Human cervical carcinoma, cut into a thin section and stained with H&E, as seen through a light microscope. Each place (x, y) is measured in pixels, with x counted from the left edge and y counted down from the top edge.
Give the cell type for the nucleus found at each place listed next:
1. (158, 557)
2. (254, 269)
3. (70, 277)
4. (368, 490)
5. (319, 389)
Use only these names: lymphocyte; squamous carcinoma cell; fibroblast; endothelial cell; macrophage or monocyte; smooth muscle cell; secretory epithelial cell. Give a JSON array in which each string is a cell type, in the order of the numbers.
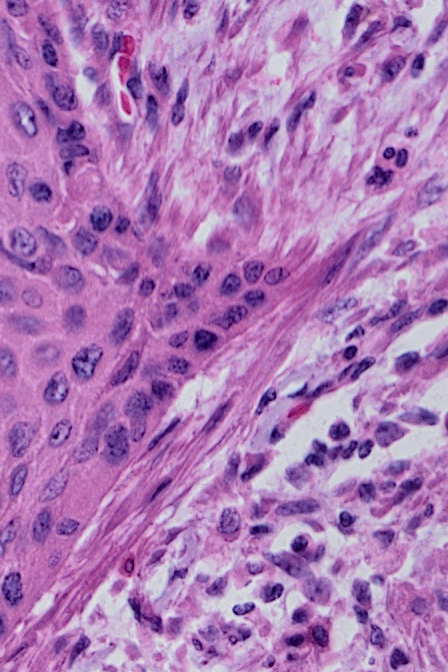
["fibroblast", "squamous carcinoma cell", "squamous carcinoma cell", "lymphocyte", "endothelial cell"]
